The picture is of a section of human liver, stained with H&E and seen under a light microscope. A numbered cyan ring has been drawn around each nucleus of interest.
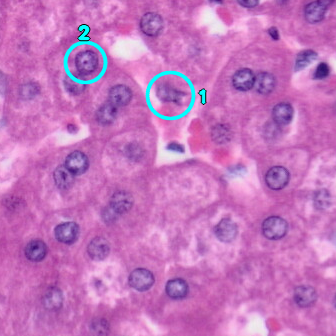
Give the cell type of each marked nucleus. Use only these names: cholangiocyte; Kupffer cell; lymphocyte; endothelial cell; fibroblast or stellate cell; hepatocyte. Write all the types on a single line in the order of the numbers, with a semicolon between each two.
Kupffer cell; hepatocyte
